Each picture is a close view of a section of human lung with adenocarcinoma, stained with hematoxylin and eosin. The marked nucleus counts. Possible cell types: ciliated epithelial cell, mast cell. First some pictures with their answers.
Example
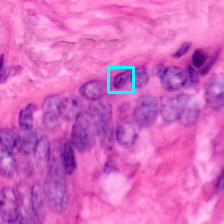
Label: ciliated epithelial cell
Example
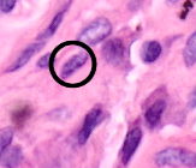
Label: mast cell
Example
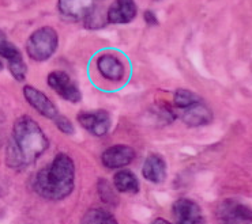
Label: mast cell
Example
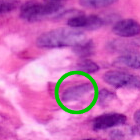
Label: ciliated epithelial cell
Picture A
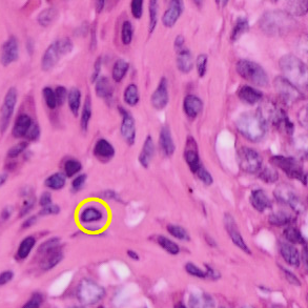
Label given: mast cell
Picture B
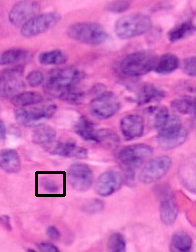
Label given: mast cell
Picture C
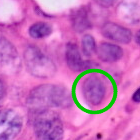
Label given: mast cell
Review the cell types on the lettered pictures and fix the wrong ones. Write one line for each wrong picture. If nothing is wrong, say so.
C: change mast cell to ciliated epithelial cell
